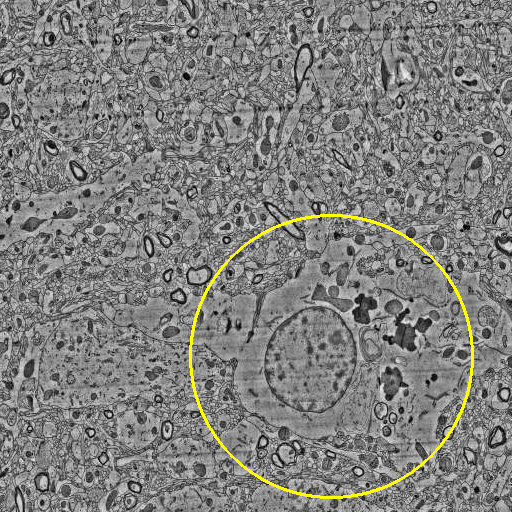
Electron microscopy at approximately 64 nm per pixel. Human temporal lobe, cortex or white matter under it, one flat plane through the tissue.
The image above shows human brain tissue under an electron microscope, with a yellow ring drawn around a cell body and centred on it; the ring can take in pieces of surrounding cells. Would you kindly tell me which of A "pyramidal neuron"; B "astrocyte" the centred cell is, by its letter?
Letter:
B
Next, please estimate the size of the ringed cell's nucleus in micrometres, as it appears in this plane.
About 7 by 6 micrometres in this plane.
